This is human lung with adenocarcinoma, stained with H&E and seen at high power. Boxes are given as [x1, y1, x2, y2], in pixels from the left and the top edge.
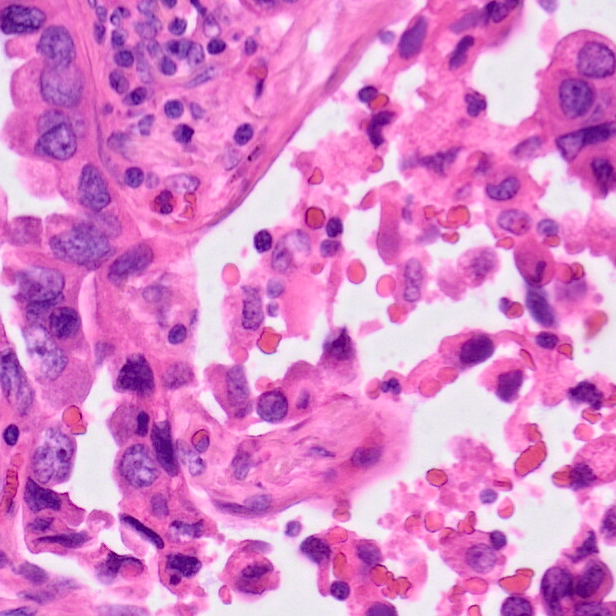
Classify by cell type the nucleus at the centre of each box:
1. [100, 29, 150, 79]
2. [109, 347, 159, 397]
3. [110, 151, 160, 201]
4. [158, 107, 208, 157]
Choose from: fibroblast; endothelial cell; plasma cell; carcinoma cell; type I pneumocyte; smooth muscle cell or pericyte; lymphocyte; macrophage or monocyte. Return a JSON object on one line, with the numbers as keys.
{"1": "lymphocyte", "2": "carcinoma cell", "3": "lymphocyte", "4": "lymphocyte"}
